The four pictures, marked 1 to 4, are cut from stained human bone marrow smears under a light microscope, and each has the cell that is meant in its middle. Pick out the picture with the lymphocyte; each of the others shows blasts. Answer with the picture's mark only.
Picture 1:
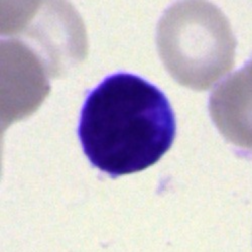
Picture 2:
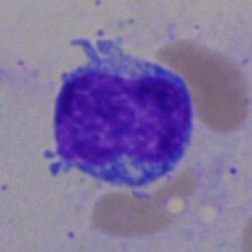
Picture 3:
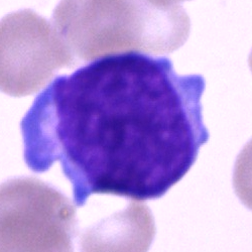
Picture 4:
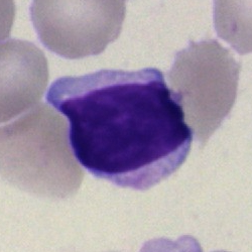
4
